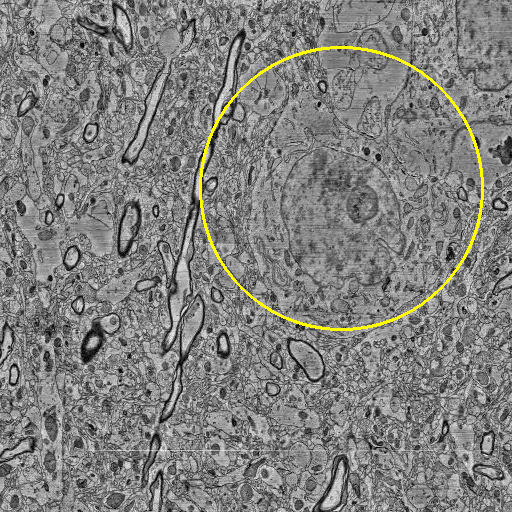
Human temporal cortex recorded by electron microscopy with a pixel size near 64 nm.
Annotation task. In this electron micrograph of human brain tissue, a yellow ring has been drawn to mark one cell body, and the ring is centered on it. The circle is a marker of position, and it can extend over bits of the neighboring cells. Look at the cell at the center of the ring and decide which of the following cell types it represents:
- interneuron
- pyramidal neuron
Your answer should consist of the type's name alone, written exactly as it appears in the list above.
interneuron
